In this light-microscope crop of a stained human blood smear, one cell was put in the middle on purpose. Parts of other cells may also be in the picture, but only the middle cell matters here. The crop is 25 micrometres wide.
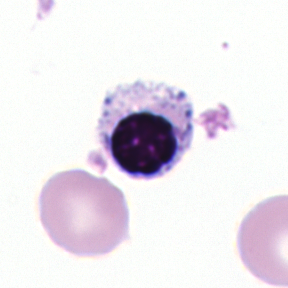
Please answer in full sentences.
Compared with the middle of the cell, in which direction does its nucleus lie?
The nucleus sits off-centre, toward the bottom.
